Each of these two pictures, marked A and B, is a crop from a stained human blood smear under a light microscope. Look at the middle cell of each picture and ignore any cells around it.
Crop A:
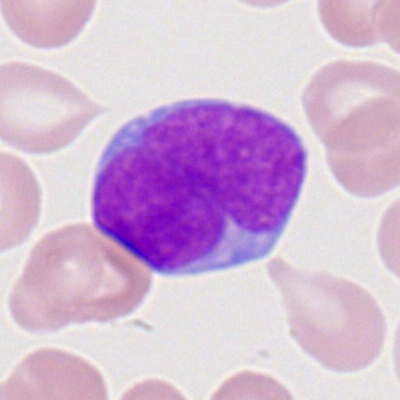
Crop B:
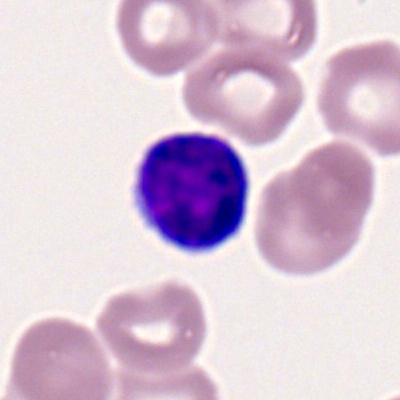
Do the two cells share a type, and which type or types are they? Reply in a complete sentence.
No, crop A captures a myeloblast, and crop B captures a lymphocyte.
